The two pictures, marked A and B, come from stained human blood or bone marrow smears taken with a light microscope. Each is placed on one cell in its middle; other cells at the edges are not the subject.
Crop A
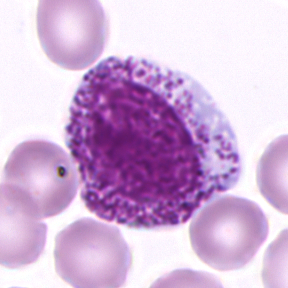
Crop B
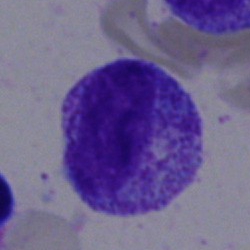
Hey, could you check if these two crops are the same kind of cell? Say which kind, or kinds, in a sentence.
Yes, the two crops are alike in showing myelocytes.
